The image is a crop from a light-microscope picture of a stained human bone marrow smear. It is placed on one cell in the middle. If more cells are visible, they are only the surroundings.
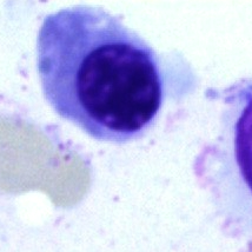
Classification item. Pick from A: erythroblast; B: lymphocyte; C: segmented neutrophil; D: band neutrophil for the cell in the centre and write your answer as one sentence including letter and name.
The correct identification, given in option A, is that the central cell is an erythroblast.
